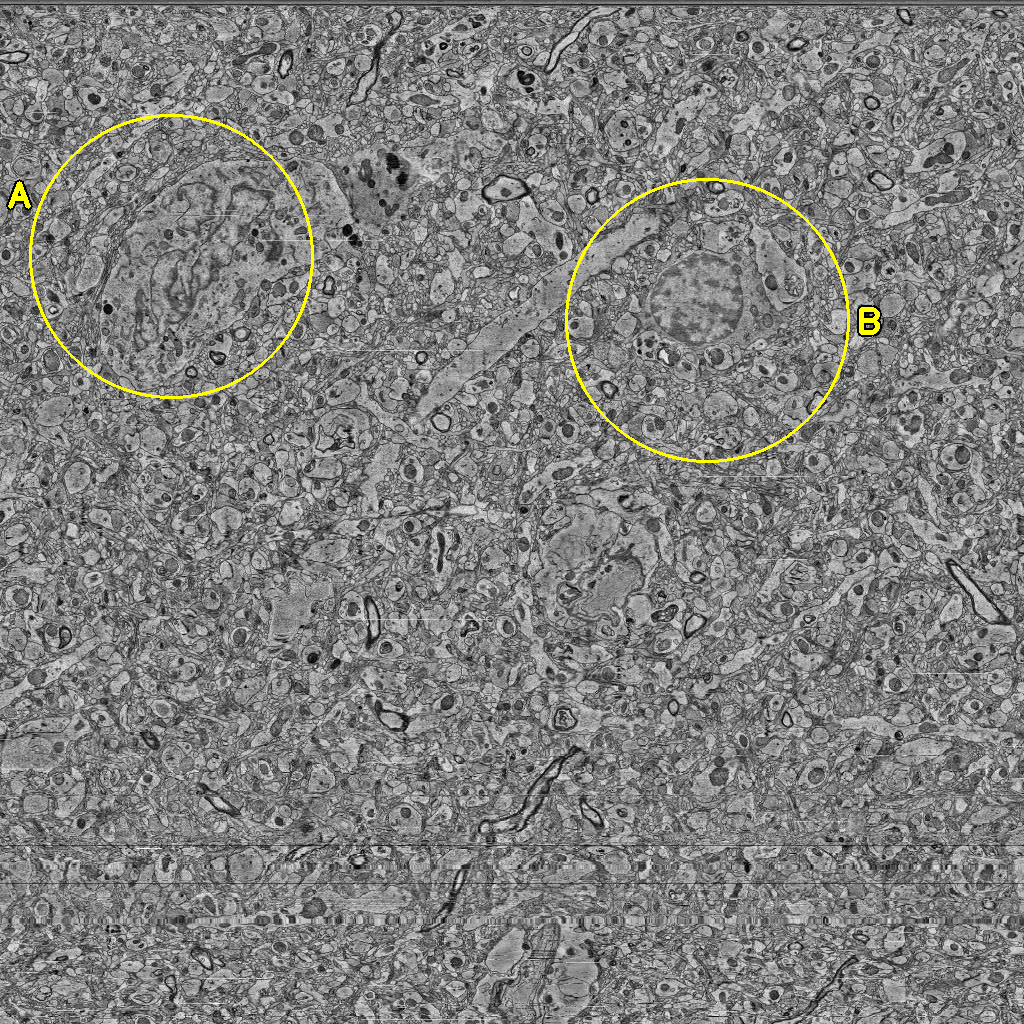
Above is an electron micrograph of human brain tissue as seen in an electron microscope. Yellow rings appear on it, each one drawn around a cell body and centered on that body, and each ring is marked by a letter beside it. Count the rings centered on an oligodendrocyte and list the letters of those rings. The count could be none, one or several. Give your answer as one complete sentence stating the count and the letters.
Only one ring here is centred on an oligodendrocyte, and the letter attached to it is B.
